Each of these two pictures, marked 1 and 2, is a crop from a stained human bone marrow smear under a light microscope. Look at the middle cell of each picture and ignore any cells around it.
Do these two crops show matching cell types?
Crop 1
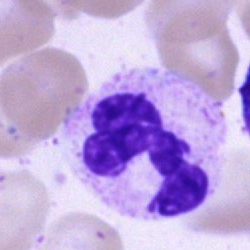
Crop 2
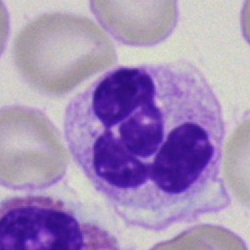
yes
